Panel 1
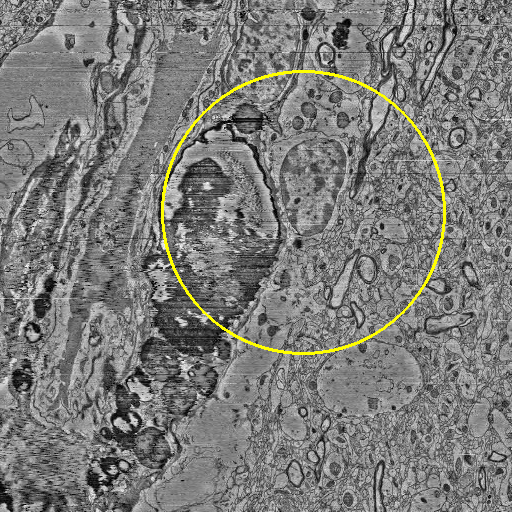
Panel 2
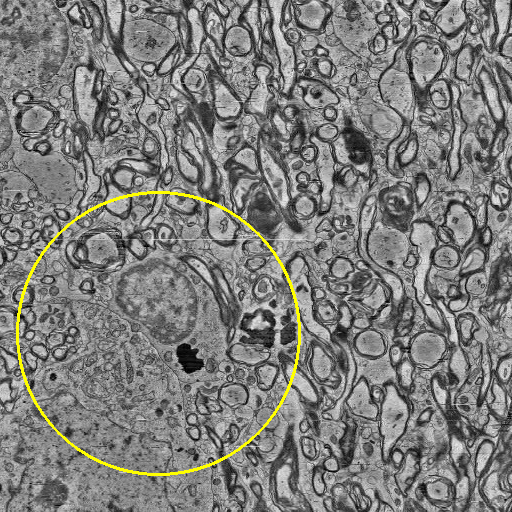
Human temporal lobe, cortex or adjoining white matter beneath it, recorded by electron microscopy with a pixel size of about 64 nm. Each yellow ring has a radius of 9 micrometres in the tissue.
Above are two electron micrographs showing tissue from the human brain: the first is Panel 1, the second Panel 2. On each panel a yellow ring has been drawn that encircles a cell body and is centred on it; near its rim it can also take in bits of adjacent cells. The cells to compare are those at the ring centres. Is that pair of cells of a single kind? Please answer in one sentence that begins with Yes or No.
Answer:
No, the ring-centred cells of Panel 1 and Panel 2 belong to two kinds.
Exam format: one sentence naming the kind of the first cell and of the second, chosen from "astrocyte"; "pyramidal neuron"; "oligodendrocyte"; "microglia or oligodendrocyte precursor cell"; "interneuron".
The first picture's cell is a microglial cell or oligodendrocyte precursor cell, and the second picture's cell is an oligodendrocyte.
